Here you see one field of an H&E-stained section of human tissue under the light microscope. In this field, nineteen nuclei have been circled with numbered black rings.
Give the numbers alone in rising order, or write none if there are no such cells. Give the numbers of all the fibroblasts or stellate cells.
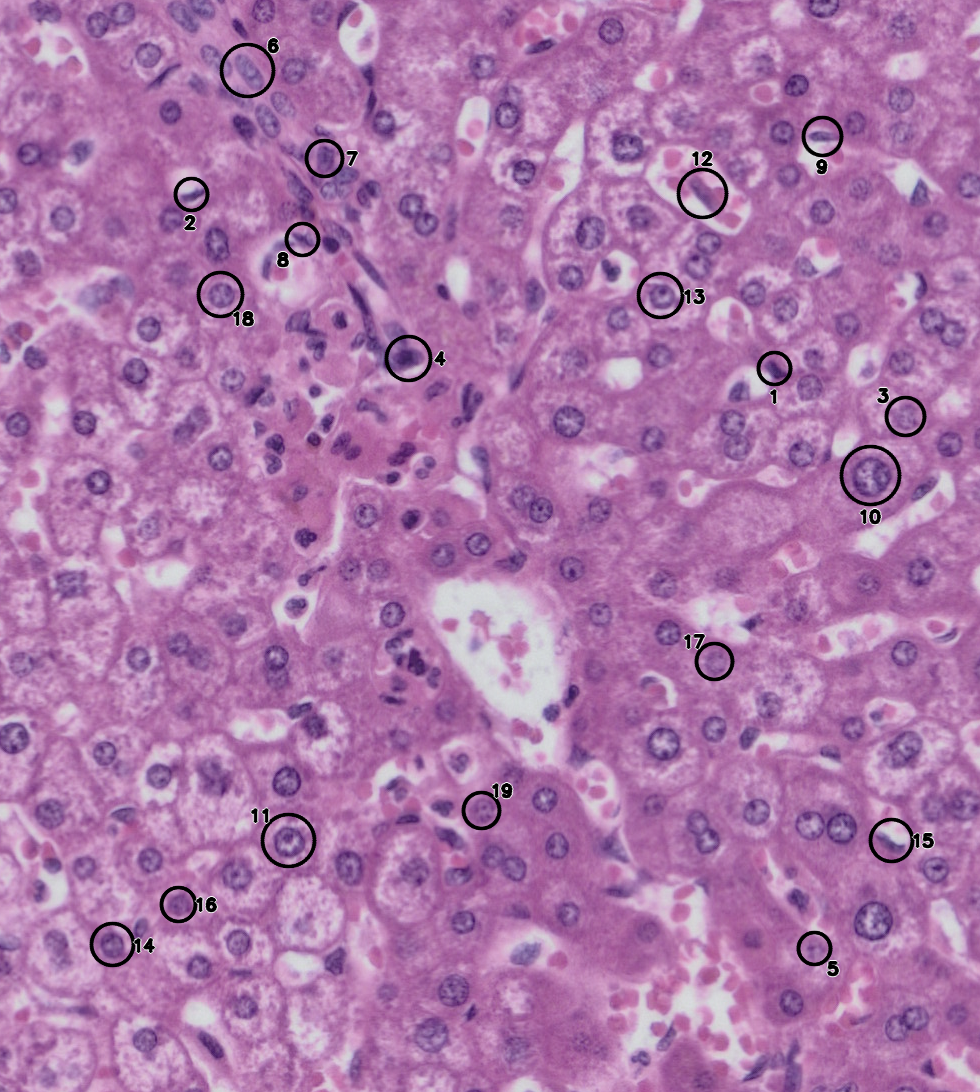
1, 4, 8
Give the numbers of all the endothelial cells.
2, 9, 15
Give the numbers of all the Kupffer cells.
12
